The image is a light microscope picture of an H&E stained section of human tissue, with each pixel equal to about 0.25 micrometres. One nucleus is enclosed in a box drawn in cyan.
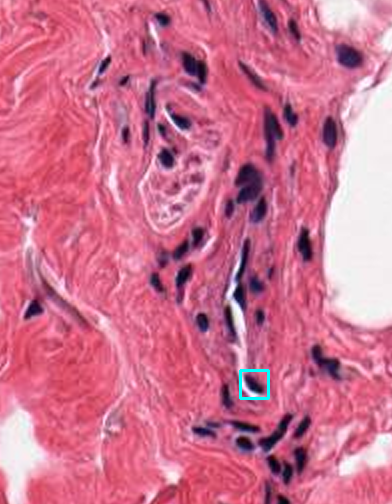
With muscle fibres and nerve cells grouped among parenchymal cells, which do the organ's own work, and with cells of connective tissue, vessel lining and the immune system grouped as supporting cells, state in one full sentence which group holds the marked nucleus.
In this section, a supporting cell is the cell with the marked nucleus.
